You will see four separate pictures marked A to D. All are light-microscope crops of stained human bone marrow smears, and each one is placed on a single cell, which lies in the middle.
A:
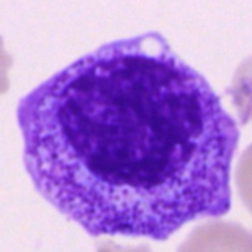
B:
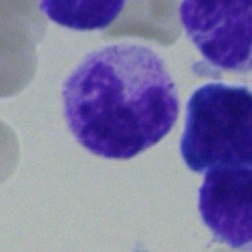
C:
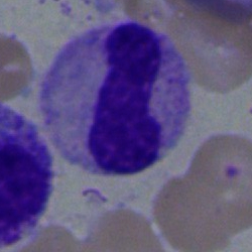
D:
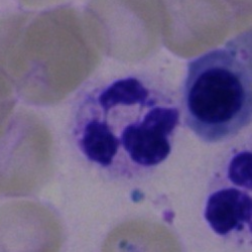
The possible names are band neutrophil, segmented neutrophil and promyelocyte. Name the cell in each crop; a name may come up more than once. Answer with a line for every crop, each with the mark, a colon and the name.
A: promyelocyte
B: band neutrophil
C: band neutrophil
D: segmented neutrophil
